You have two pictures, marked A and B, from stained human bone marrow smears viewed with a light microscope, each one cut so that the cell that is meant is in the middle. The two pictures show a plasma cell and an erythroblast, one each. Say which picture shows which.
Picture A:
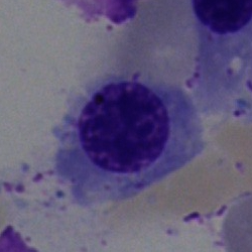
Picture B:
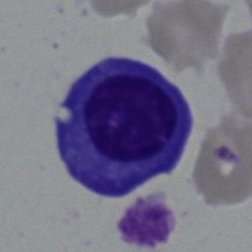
A: erythroblast
B: plasma cell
